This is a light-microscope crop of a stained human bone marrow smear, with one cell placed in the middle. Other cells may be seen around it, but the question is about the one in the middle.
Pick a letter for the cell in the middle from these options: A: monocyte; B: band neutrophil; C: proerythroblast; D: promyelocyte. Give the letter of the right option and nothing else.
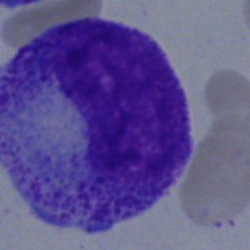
D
